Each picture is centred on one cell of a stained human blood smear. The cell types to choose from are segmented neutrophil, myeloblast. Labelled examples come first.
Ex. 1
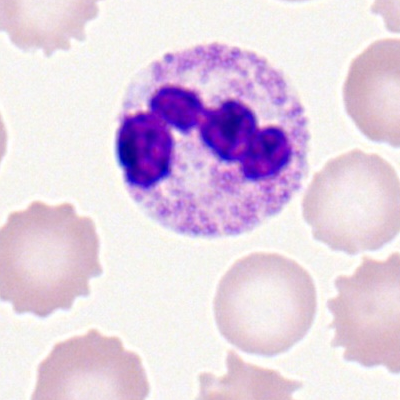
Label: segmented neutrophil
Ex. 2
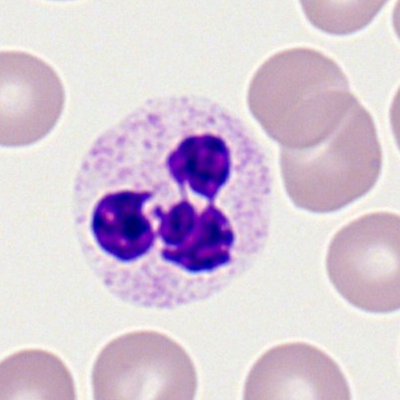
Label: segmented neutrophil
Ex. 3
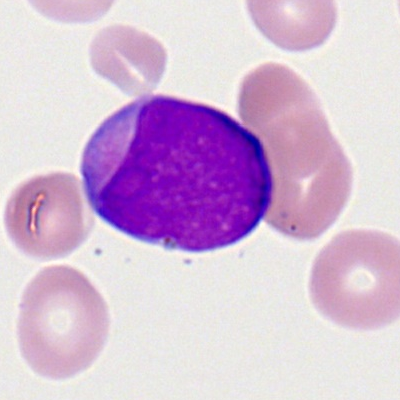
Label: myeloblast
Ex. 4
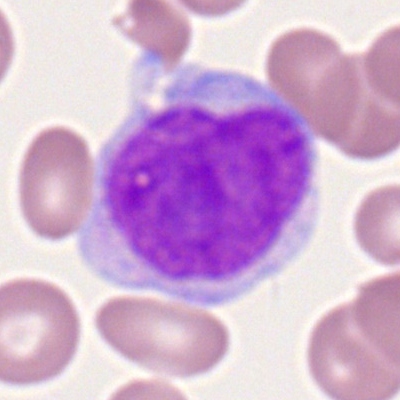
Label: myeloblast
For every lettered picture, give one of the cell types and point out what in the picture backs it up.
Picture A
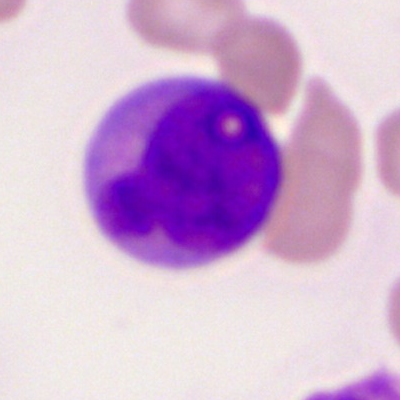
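Answer: myeloblast. The nucleus fills most of the cell and sits toward the right side.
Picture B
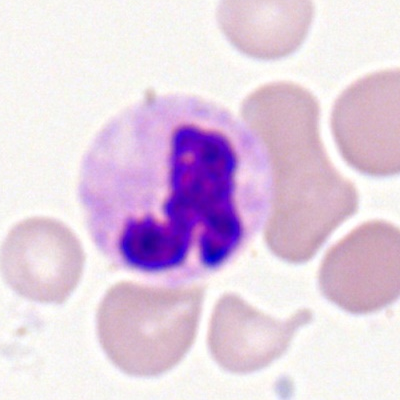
Answer: segmented neutrophil. The cytoplasm is abundant and pale pinkish-lilac.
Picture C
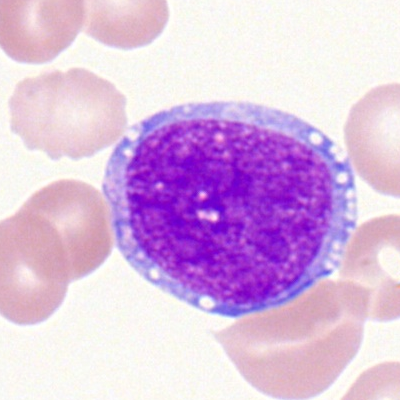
Answer: myeloblast. The cytoplasm forms only a narrow rim around the nucleus.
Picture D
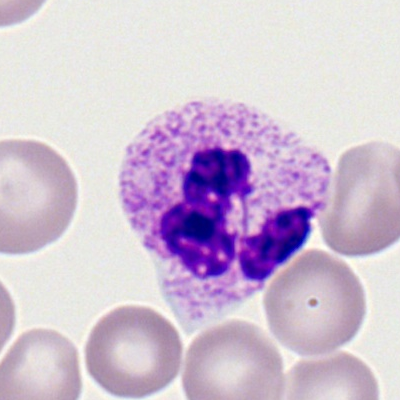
Answer: segmented neutrophil. The nucleus is divided into three separate lobes.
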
